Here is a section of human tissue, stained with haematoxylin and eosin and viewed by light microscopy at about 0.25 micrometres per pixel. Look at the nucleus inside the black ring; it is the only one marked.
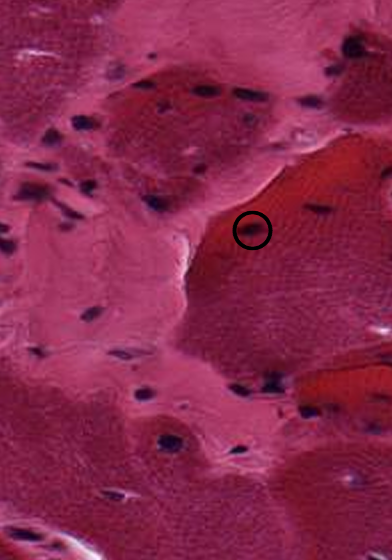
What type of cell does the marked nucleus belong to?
skeletal muscle fibre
